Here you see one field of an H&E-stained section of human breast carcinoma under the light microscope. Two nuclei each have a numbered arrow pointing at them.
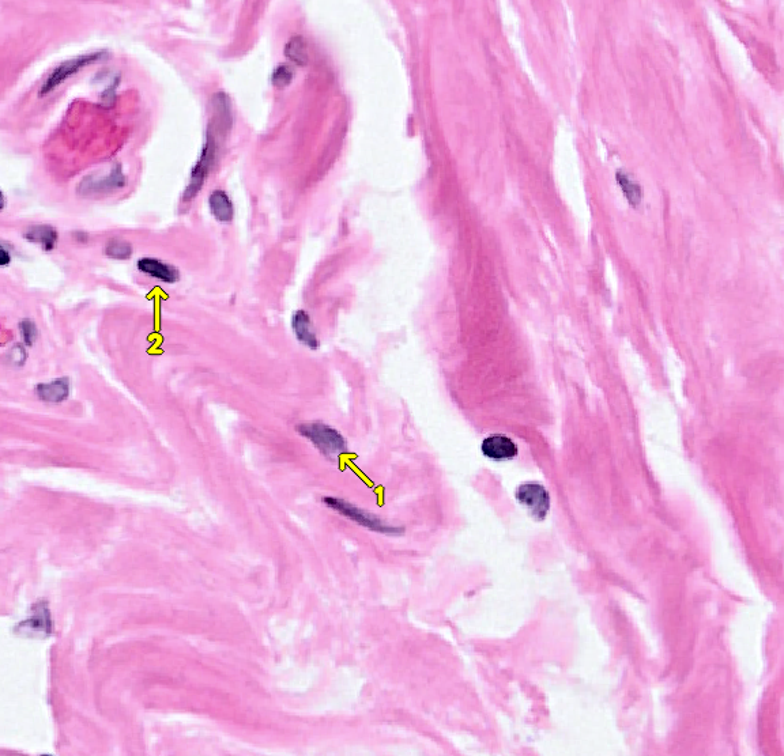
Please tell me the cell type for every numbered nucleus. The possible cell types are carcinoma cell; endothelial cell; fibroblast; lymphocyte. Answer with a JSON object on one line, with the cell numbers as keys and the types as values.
{"1": "fibroblast", "2": "lymphocyte"}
